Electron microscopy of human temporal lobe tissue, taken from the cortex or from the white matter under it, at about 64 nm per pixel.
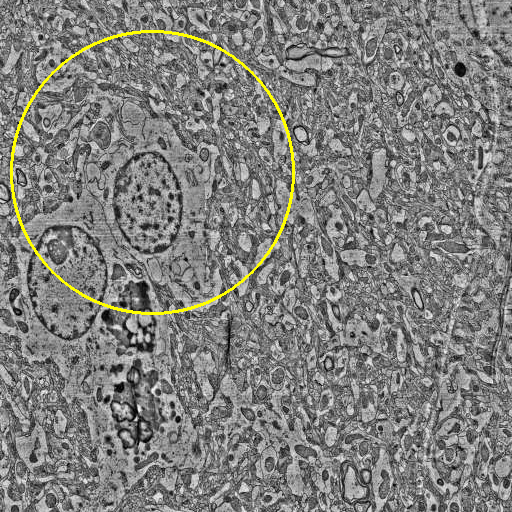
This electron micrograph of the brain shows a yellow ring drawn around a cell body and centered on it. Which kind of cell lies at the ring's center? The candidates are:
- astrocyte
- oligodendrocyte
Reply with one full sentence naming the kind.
The cell lying at the ring's center in this micrograph is an astrocyte.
